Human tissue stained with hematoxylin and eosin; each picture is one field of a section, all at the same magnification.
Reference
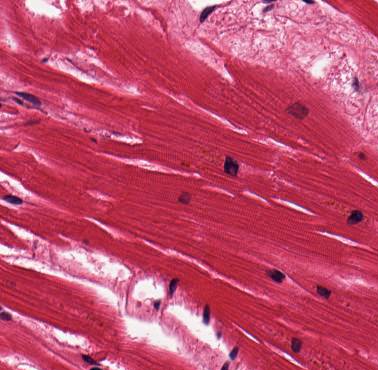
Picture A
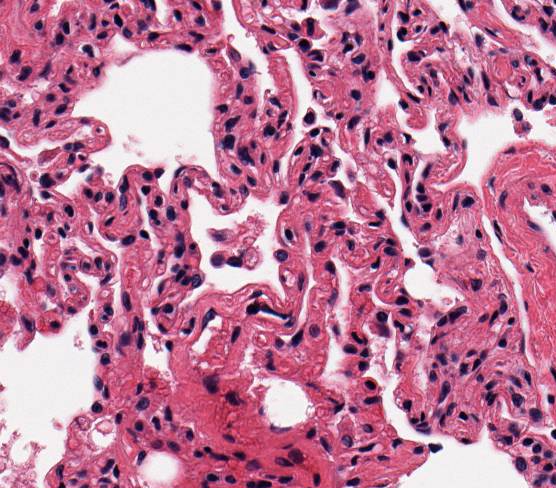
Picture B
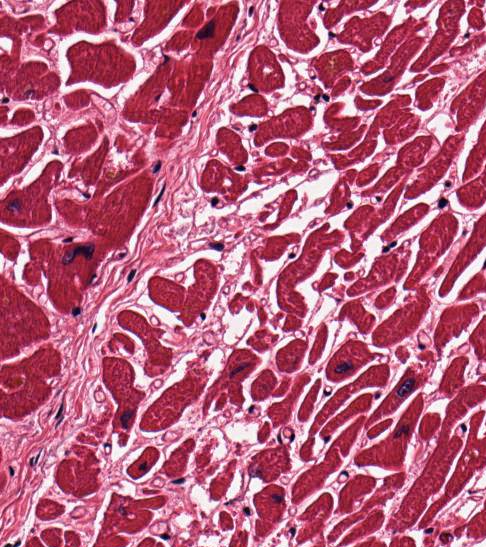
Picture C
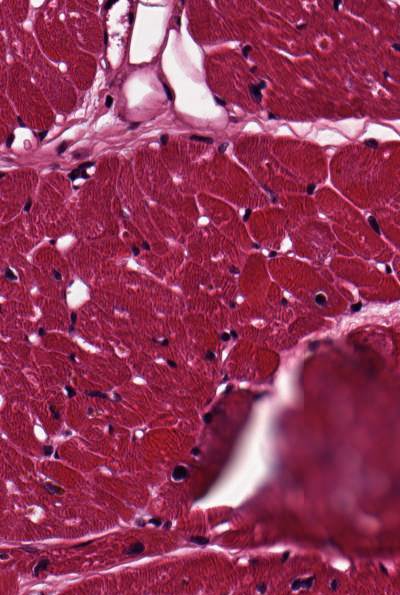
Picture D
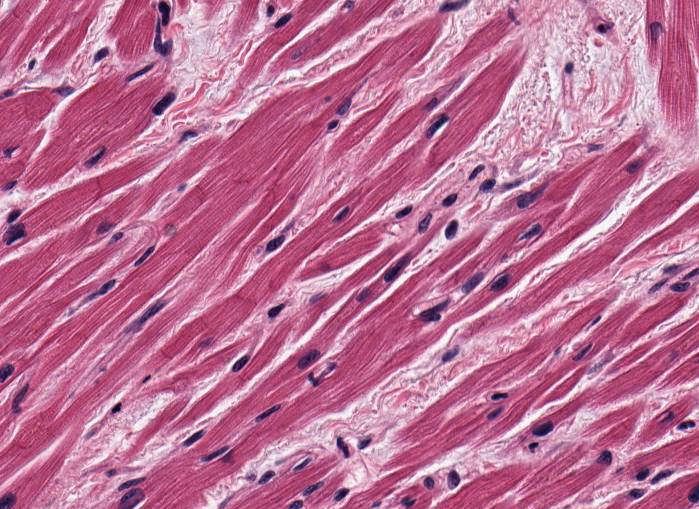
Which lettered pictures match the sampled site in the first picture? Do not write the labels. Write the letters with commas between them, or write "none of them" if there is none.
B, C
